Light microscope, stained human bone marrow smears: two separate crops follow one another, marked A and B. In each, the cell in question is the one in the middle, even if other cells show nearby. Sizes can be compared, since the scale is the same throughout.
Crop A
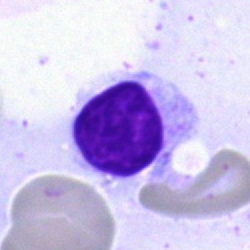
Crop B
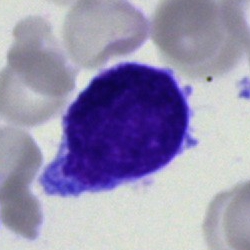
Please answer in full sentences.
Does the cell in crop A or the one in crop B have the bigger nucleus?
Larger is the nucleus in crop B, at roughly 2 times the area of the other.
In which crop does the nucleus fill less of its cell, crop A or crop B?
In crop A the nucleus takes up the smaller part of its cell.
